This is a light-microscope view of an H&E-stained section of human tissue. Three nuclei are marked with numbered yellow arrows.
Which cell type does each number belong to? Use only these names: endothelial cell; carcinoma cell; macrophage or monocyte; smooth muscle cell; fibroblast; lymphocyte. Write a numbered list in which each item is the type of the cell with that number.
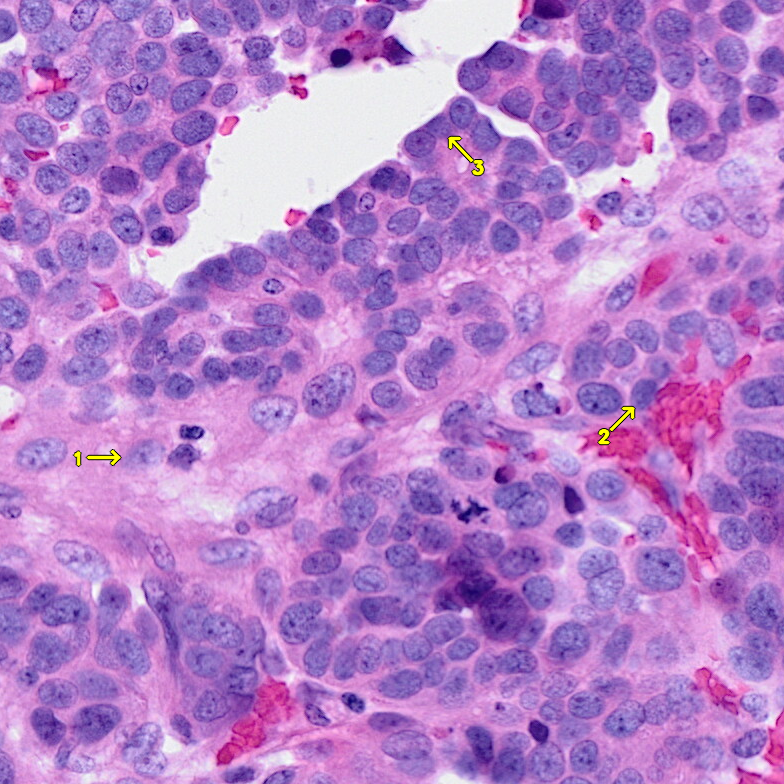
1. fibroblast
2. carcinoma cell
3. carcinoma cell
